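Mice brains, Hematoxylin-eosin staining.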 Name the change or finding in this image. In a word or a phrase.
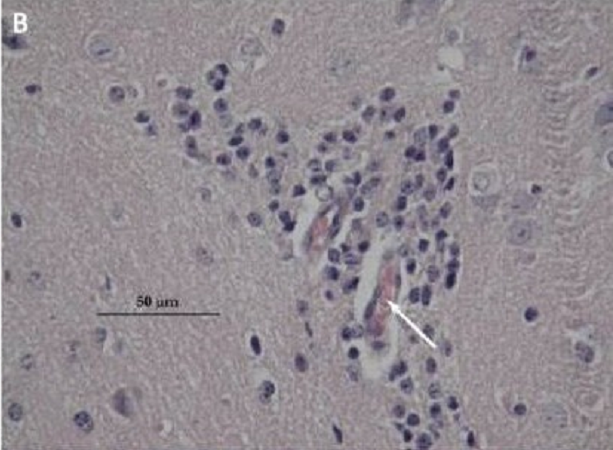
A: Lymphocytic sleeves around capillaries.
